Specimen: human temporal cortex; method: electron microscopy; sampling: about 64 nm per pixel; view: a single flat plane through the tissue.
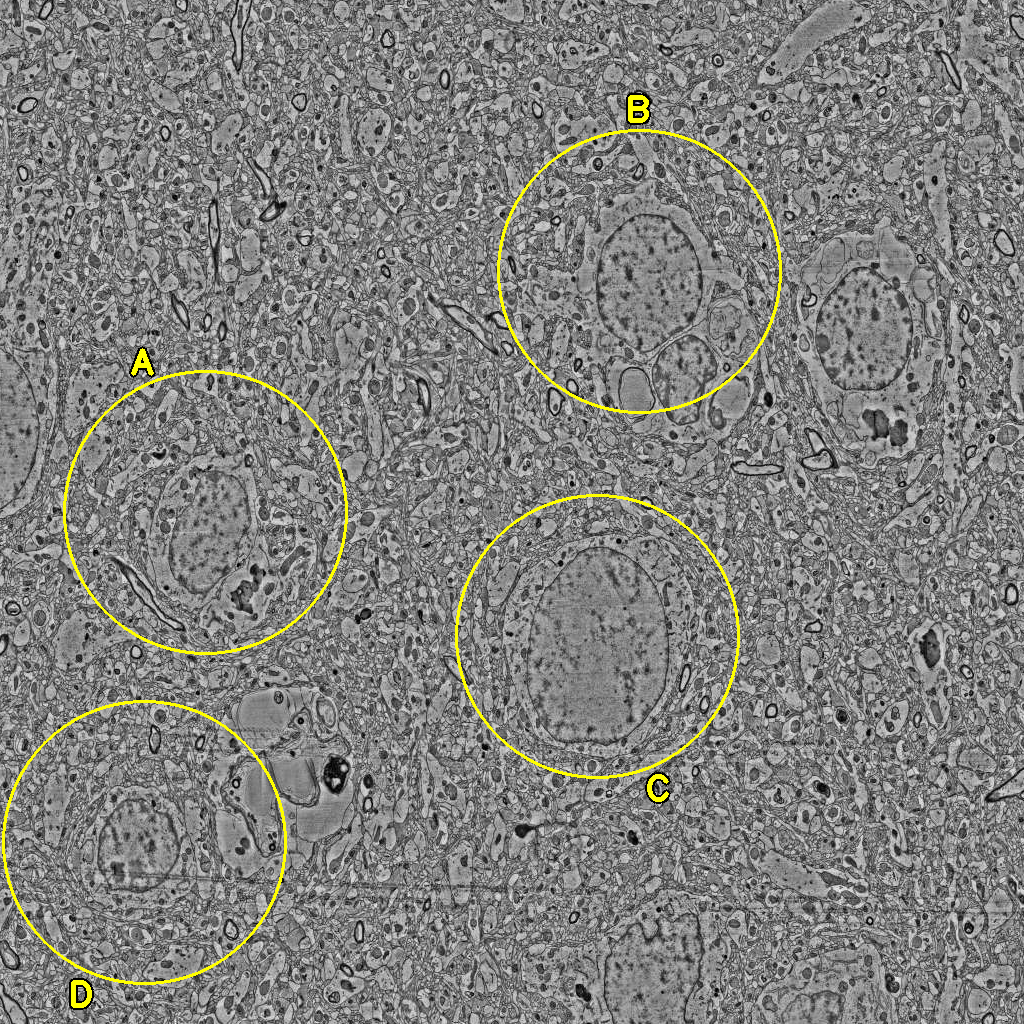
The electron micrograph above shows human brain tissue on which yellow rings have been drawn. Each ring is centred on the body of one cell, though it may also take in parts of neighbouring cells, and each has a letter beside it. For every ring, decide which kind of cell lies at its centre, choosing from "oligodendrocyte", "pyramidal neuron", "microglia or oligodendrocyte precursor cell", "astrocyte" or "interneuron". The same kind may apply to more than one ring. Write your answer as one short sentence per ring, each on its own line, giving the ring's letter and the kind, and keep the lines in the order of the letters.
Ring A is centred on an interneuron.
Ring B is centred on an astrocyte.
Ring C is centred on a pyramidal neuron.
Ring D is centred on a pyramidal neuron.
